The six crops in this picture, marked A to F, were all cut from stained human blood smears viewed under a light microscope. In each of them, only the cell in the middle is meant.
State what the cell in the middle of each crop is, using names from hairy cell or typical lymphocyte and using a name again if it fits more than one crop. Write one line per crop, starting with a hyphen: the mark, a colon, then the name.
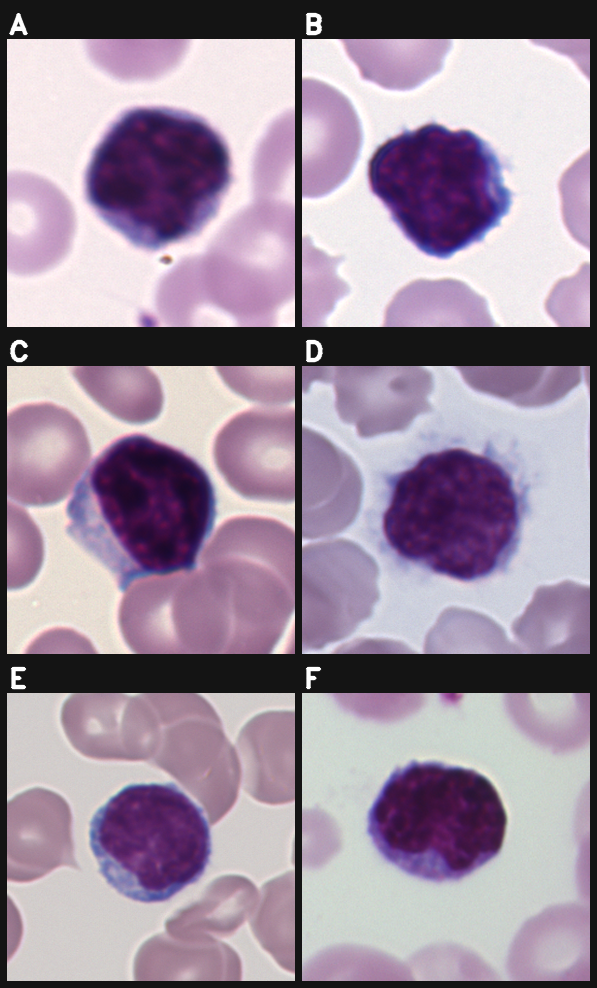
- A: typical lymphocyte
- B: typical lymphocyte
- C: typical lymphocyte
- D: hairy cell
- E: typical lymphocyte
- F: typical lymphocyte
